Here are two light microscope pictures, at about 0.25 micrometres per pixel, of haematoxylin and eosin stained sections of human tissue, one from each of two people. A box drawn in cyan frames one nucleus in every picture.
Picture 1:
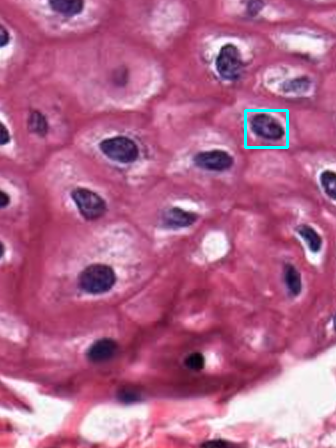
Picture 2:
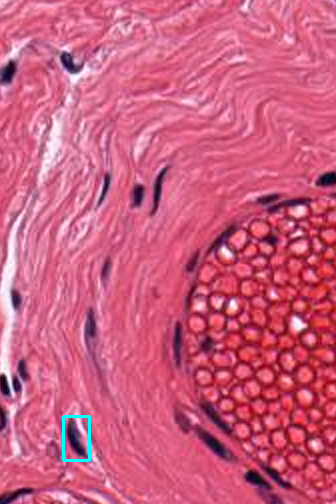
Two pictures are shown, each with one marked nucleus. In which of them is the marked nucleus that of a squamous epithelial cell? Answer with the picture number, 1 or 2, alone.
1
